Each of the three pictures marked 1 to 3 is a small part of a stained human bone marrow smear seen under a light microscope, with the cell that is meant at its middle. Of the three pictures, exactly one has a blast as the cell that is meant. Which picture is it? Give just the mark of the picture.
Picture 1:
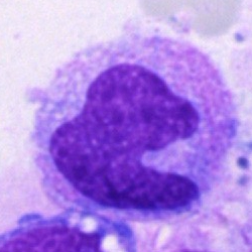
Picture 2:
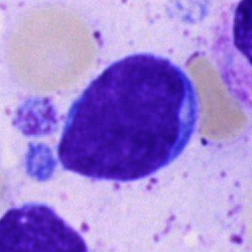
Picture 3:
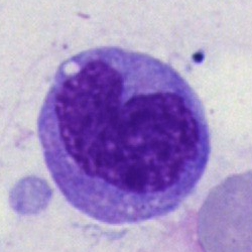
2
